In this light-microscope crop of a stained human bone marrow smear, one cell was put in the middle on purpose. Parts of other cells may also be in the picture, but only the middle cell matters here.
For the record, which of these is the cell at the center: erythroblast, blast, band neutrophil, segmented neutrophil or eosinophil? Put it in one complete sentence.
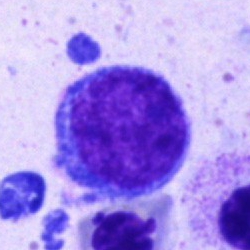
The cell at the middle of the crop is recognized as a blast.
